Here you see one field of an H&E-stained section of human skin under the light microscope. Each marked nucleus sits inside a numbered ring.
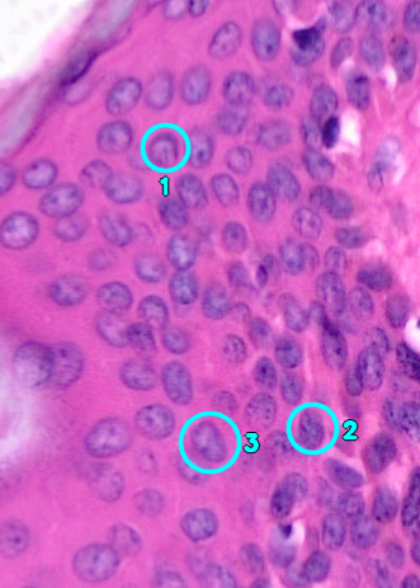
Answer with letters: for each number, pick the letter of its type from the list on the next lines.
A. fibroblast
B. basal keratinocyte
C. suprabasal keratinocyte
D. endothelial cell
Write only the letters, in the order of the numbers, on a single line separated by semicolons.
C; B; C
